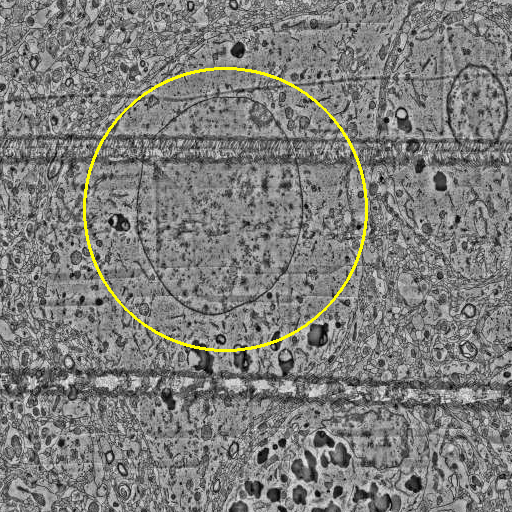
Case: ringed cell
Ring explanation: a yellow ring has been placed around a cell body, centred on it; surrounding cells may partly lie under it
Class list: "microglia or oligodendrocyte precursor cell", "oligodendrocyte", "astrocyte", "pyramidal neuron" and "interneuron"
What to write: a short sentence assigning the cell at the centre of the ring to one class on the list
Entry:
The cell at the ring's centre is a pyramidal neuron.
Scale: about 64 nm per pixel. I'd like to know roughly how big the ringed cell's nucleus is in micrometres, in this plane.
The nucleus is approximately 14 micrometers long by 11 micrometers wide in this plane.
